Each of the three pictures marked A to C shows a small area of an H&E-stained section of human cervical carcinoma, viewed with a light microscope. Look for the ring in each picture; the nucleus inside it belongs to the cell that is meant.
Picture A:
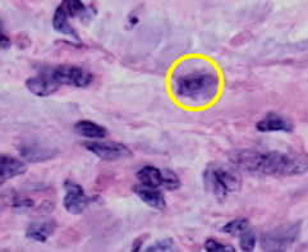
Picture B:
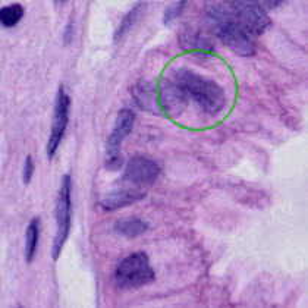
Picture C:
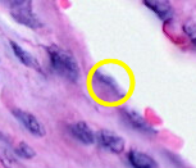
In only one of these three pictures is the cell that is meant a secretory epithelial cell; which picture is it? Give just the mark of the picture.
B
